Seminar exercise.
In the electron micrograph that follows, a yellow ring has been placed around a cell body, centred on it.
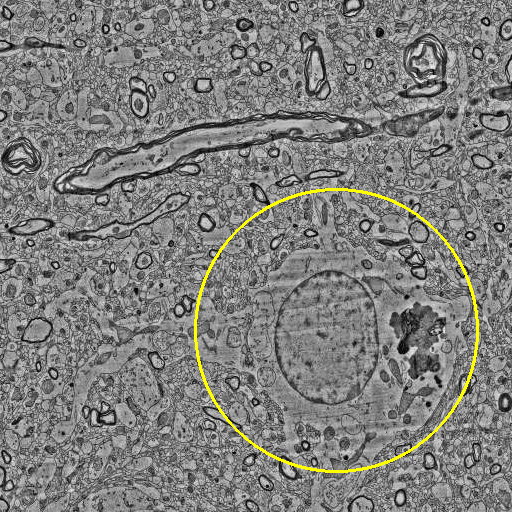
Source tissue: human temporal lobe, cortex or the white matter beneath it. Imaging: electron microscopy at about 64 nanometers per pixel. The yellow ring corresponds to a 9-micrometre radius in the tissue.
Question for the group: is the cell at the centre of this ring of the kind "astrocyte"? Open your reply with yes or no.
Yes, the cell in the ring's centre is of that kind.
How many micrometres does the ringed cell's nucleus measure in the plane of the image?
In this plane the nucleus is about 8 micrometres by 7.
